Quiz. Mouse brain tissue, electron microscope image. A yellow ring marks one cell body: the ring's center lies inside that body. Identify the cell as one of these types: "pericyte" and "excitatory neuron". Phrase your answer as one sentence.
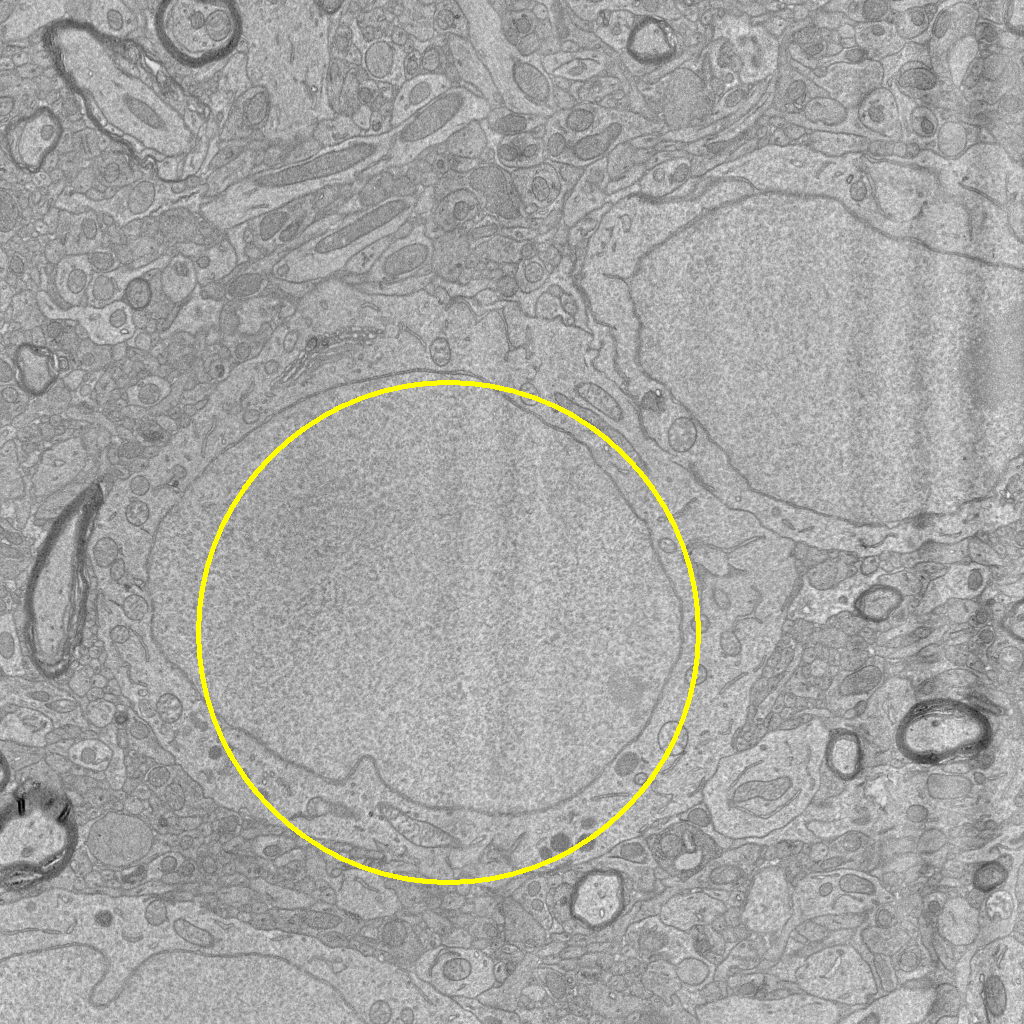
At the center of the ring sits an excitatory neuron.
